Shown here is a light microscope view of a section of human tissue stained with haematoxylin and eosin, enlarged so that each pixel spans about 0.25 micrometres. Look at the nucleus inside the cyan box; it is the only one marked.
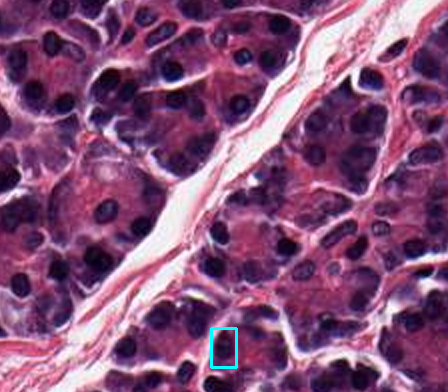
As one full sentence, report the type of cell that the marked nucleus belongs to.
To a pancreatic acinar cell belongs the marked nucleus.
